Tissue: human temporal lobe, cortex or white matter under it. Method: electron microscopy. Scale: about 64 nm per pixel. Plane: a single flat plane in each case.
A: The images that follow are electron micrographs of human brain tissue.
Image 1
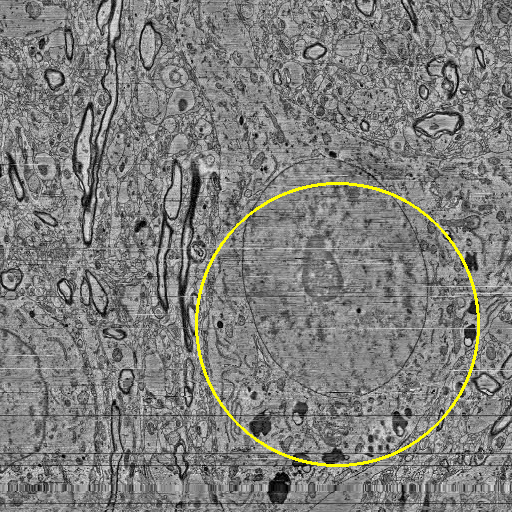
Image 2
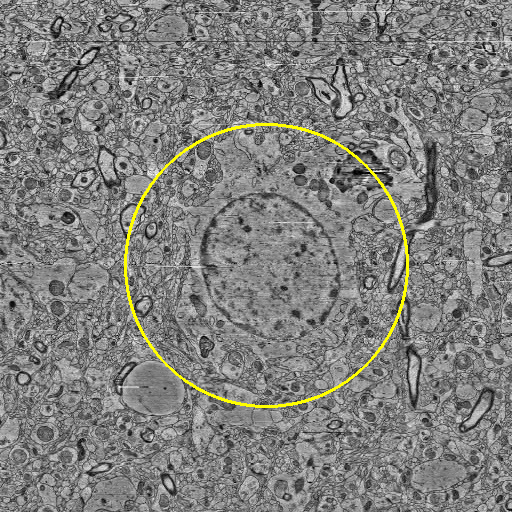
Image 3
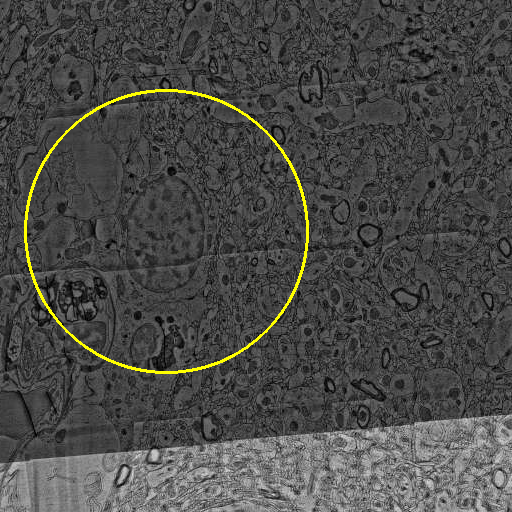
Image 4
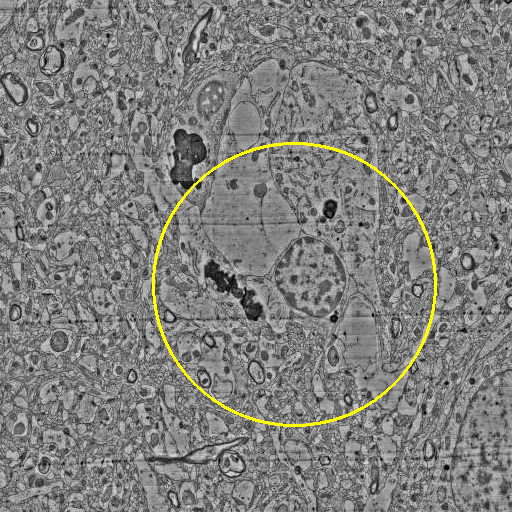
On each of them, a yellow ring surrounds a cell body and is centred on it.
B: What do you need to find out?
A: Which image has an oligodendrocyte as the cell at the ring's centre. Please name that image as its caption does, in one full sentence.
Image 3 is the one whose ring has the sought cell at its centre.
